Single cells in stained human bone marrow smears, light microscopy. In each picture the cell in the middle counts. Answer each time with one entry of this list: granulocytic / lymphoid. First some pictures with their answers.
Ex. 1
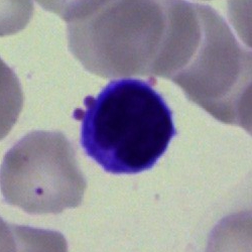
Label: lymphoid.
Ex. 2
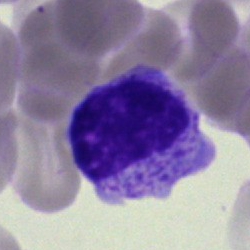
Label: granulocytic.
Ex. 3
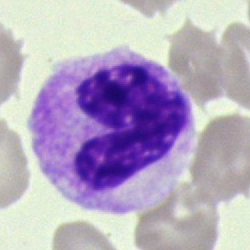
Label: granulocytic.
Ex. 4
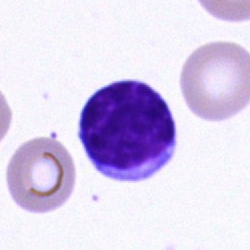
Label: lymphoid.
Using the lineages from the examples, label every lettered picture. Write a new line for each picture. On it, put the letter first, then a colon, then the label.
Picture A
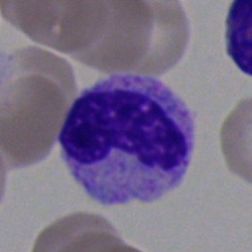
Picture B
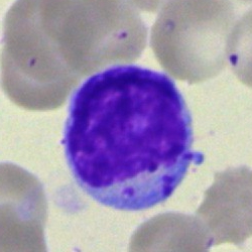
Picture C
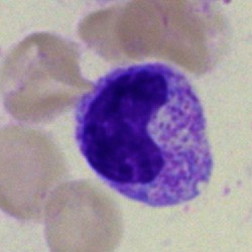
A: granulocytic.
B: lymphoid.
C: granulocytic.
